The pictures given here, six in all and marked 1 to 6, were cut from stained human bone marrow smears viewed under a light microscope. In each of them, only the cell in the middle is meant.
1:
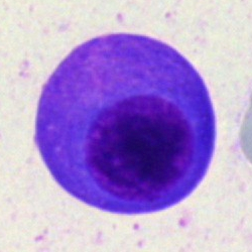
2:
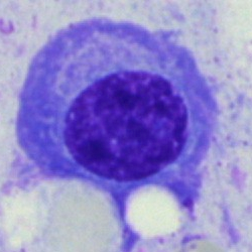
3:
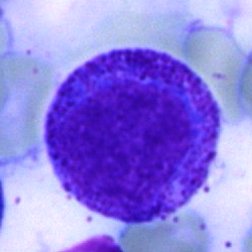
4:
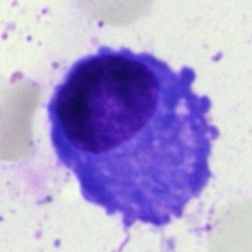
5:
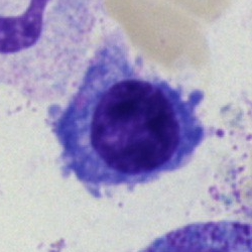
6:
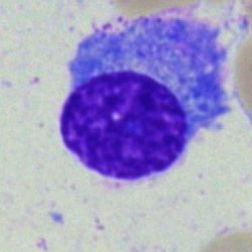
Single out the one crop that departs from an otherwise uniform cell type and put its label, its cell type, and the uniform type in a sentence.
Unlike the rest, which all show plasma cells, crop 3 contains a promyelocyte.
